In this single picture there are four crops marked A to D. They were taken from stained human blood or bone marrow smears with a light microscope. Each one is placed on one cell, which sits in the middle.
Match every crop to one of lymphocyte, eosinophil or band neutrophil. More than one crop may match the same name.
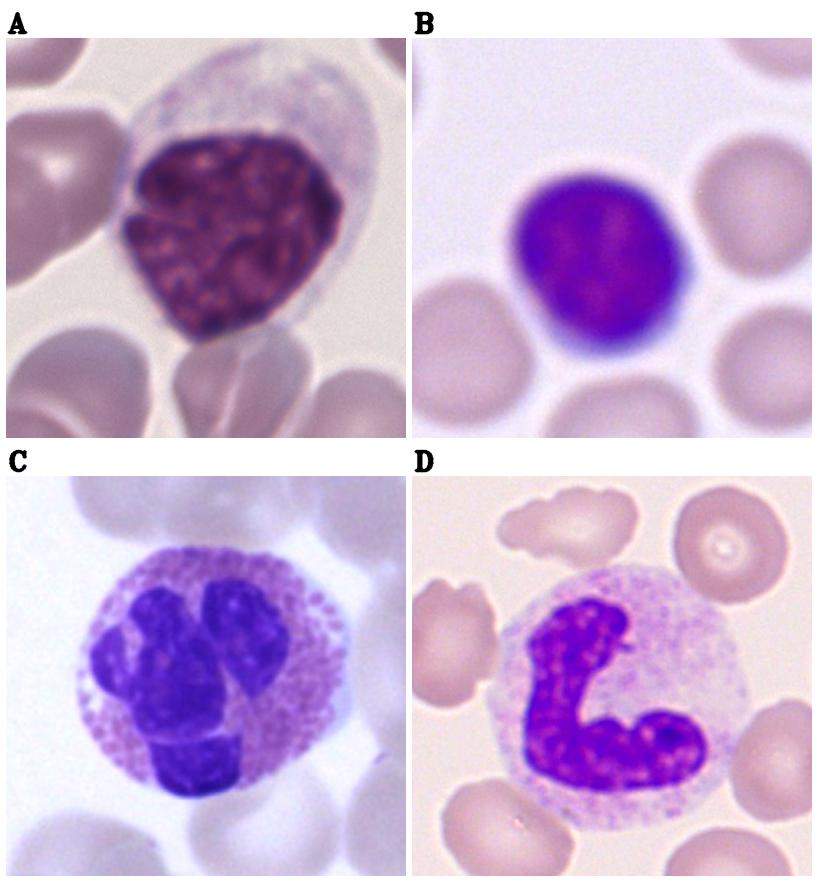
A: band neutrophil
B: lymphocyte
C: eosinophil
D: band neutrophil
